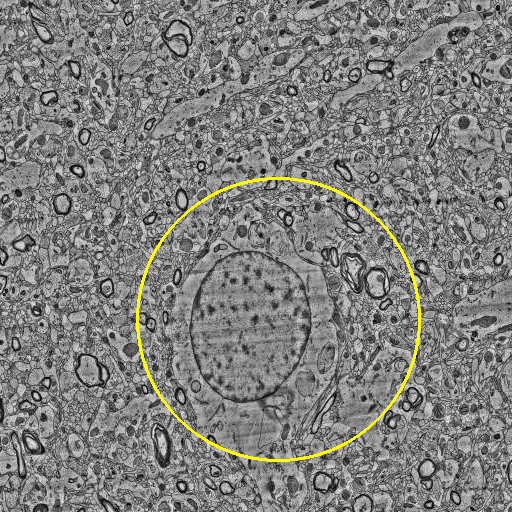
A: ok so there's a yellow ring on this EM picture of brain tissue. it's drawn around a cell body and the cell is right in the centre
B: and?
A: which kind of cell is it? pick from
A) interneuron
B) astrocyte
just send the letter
B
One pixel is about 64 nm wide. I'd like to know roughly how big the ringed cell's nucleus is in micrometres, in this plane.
Approximately 10 by 8 micrometers in this plane.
